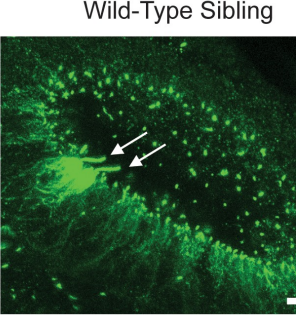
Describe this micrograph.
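Otic vesicle with its wall dotted by short green puncta and stubby cilia around a dark lumen. At one side a bright cluster of projections gives rise to two longer, thicker cilia of early hair cells extending into the lumen.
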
